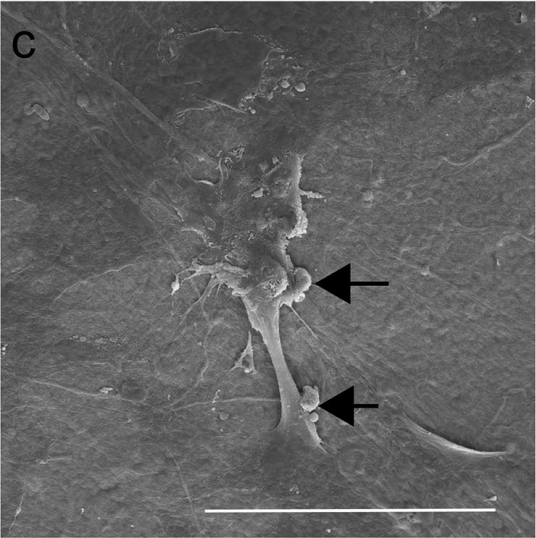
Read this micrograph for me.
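A single elongated cell lies flattened on a smooth, faintly fibrous surface, its body drawn out into a long tapering extension with fine thread-like processes spreading from its upper part. Small rounded globules cling to the cell body at several places.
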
